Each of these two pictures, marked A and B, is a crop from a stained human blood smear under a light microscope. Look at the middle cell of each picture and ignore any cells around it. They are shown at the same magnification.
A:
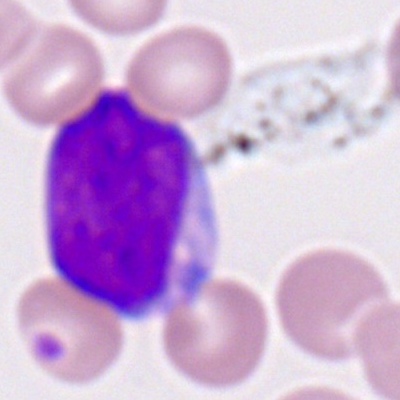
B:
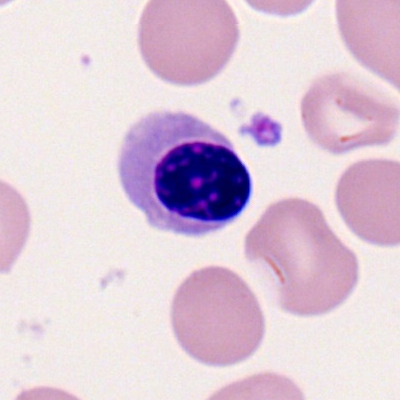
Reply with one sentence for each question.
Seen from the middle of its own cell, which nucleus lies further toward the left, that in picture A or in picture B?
The nucleus in picture A lies further toward the left of its cell.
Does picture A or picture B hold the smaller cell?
It is the cell in picture B; the cell in picture A has about 2.5 times its area.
